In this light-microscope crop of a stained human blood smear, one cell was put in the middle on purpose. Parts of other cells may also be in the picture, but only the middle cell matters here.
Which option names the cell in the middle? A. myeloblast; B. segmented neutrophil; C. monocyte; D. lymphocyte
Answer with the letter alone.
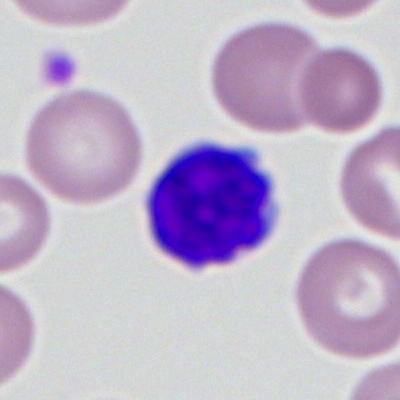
D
